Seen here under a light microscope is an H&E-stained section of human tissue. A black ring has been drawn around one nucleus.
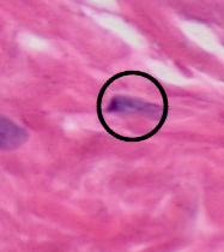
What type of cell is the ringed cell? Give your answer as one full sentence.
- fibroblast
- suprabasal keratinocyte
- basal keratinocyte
In cell-type terms, the ringed cell is a fibroblast.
